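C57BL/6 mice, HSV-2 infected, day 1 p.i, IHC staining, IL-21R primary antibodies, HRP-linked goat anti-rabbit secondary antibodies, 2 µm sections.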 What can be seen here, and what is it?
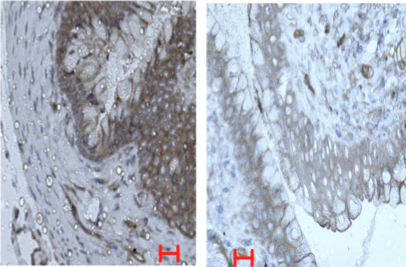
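Two sections of vaginal wall show a stratified epithelium of several cell layers resting on a loose connective tissue stroma with scattered spindle-shaped nuclei. In the left image the epithelial cells are filled with brown stain, densest toward the basal and middle layers.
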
